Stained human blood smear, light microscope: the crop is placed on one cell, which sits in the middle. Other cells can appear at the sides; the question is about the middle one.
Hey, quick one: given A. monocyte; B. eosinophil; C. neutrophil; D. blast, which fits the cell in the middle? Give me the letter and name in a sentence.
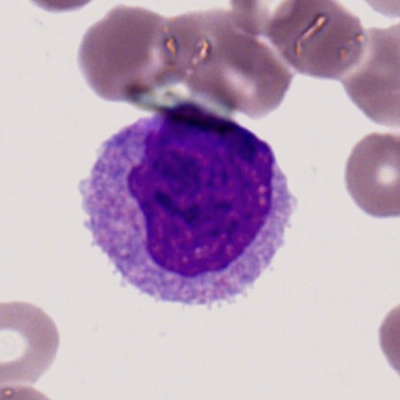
The centered cell is a monocyte, which is why option A is right.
